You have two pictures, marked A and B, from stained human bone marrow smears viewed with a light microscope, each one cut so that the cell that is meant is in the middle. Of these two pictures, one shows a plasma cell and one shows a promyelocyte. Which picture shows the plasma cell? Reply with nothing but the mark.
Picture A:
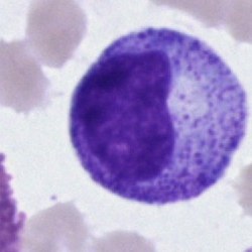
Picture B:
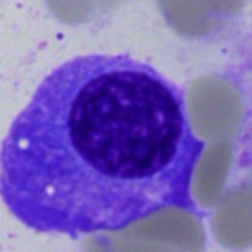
B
